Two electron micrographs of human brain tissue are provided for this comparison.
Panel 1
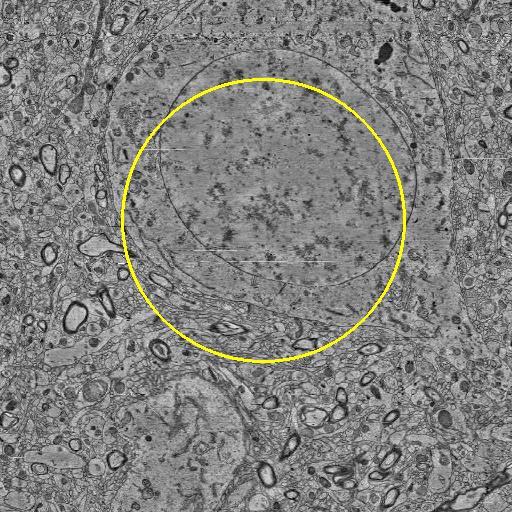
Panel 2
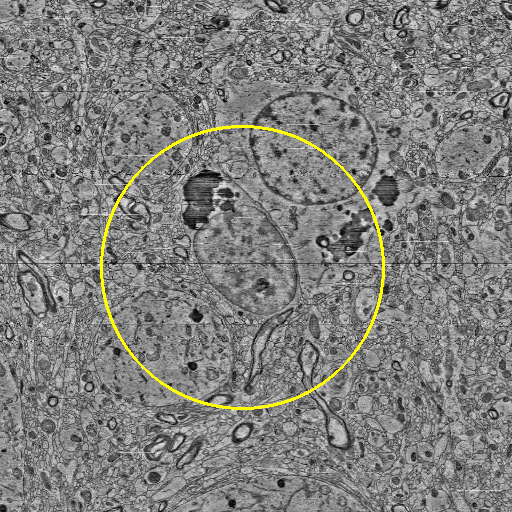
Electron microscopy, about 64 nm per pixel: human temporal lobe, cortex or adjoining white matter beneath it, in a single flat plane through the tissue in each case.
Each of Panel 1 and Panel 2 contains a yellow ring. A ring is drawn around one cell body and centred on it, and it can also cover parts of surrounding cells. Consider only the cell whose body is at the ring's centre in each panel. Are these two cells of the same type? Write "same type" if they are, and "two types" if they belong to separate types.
two types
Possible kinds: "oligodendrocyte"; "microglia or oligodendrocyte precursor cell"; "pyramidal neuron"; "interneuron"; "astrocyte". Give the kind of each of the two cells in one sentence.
The cell in the second picture is an oligodendrocyte, and that in the first is a pyramidal neuron.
